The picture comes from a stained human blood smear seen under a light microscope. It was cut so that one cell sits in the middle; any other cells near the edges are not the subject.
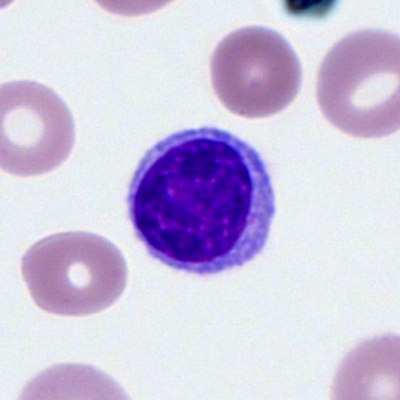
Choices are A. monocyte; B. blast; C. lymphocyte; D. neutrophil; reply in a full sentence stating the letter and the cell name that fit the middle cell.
Option C correctly names the cell in the middle as a lymphocyte.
